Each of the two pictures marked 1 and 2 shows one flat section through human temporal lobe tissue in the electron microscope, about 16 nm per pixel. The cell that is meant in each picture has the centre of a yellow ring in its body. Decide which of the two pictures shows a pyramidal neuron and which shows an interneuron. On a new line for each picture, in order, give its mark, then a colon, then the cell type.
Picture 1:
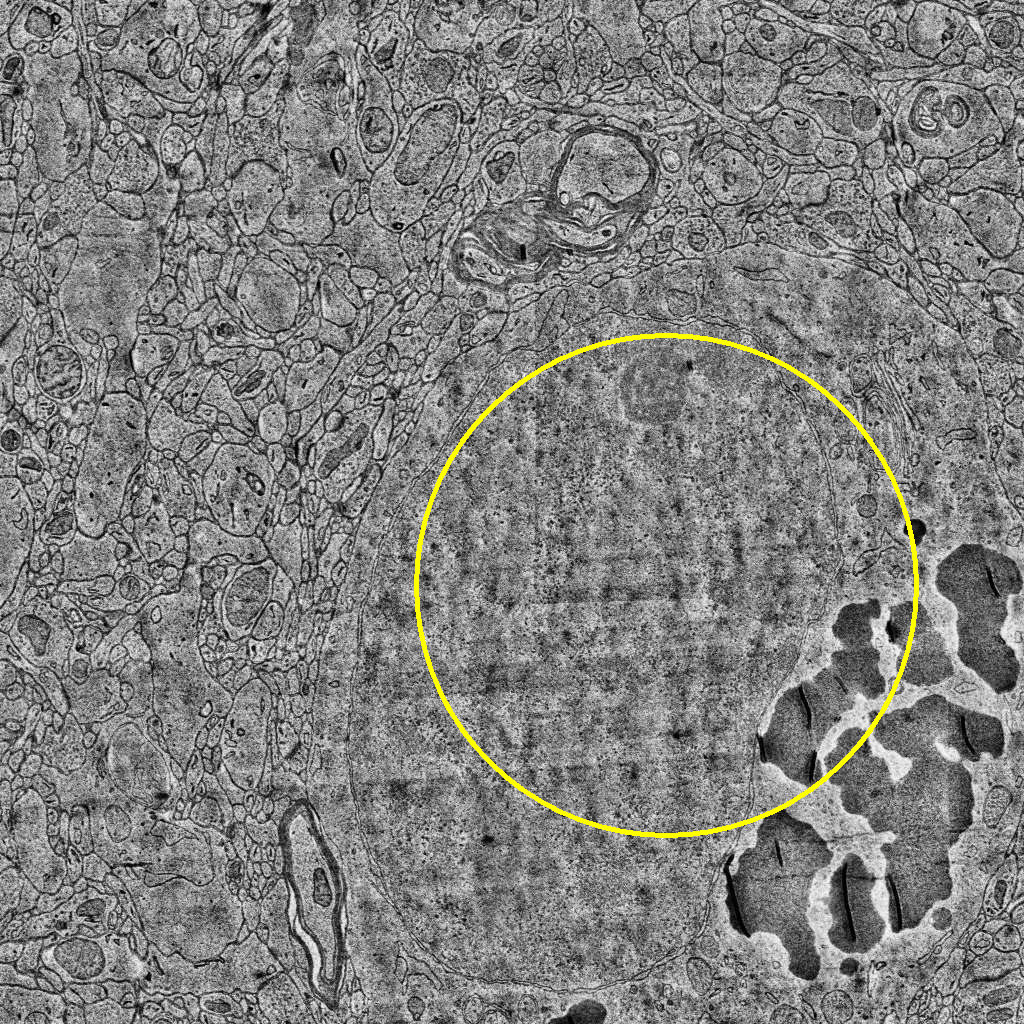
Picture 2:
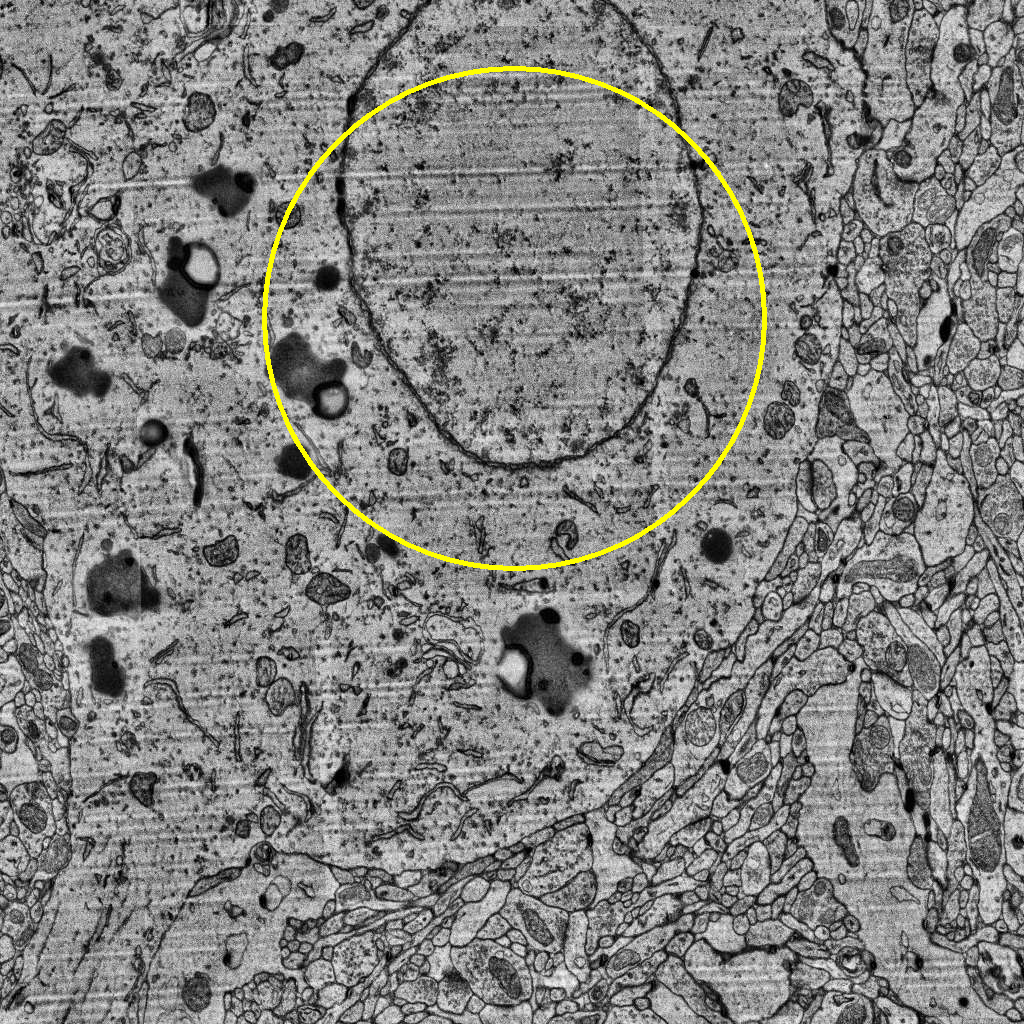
1: interneuron
2: pyramidal neuron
